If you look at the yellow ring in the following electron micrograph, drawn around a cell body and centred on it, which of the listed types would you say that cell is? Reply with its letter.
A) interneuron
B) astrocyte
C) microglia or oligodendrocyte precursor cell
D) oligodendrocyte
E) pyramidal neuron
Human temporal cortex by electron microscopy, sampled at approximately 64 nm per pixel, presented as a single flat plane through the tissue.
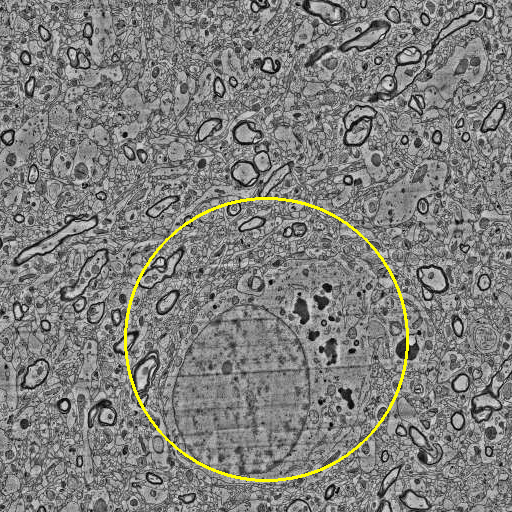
A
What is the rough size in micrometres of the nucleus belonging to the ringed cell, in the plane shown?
In this plane the nucleus measures roughly 11 by 9 micrometres.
